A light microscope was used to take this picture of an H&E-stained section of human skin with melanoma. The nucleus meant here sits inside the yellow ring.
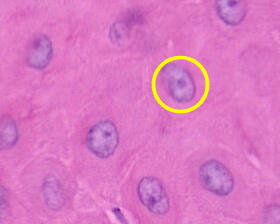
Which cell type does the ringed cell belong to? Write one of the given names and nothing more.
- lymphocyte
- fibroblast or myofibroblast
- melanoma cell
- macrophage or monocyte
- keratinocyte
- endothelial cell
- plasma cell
keratinocyte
